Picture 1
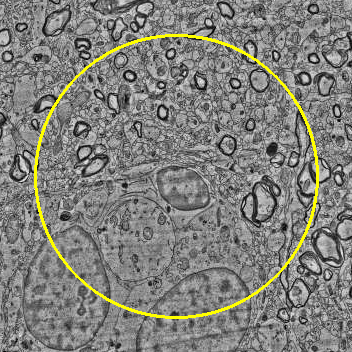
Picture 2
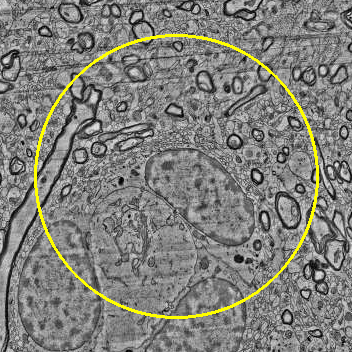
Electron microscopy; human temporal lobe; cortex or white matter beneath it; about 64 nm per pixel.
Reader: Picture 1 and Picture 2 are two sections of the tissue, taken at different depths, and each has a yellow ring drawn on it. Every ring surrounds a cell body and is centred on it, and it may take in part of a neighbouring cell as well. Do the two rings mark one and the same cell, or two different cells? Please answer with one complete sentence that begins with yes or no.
Yes, one cell appears twice, once in each ring.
